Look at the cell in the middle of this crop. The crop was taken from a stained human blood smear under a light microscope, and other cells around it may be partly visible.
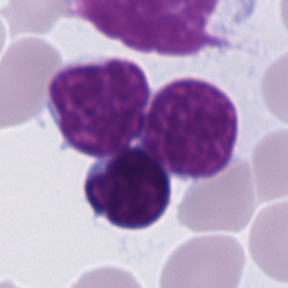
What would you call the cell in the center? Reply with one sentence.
At the middle of the frame sits a myeloblast.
